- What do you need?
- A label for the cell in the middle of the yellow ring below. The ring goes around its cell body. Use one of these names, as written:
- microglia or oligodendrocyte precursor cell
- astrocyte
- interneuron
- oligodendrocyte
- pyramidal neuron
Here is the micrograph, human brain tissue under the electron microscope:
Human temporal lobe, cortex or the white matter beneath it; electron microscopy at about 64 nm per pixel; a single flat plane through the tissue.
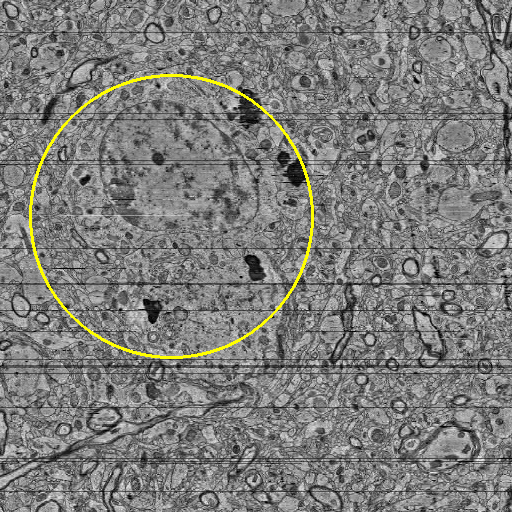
interneuron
